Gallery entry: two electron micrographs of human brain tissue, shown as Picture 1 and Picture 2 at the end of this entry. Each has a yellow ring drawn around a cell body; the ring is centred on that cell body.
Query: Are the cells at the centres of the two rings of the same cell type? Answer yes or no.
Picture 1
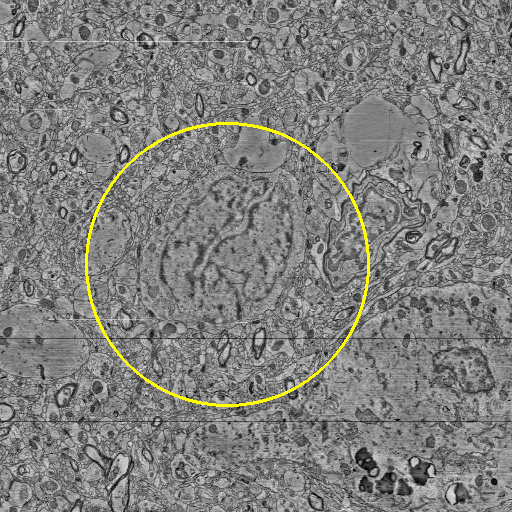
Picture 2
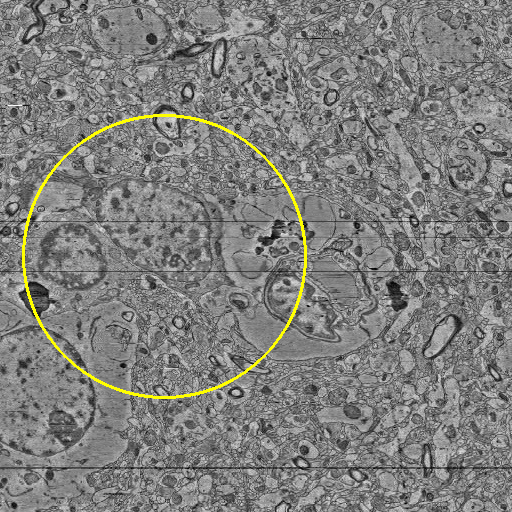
no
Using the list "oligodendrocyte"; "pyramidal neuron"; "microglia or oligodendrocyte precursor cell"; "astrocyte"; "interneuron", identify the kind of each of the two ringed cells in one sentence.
The first is an interneuron and the second is an oligodendrocyte.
